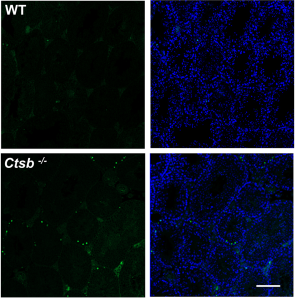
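A low-magnification view of testis tissue made up of closely packed seminiferous tubules whose many layered cells show as blue nuclei. Scattered small bright green dots lie among the nuclei, in the lower sections more than in the upper ones.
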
